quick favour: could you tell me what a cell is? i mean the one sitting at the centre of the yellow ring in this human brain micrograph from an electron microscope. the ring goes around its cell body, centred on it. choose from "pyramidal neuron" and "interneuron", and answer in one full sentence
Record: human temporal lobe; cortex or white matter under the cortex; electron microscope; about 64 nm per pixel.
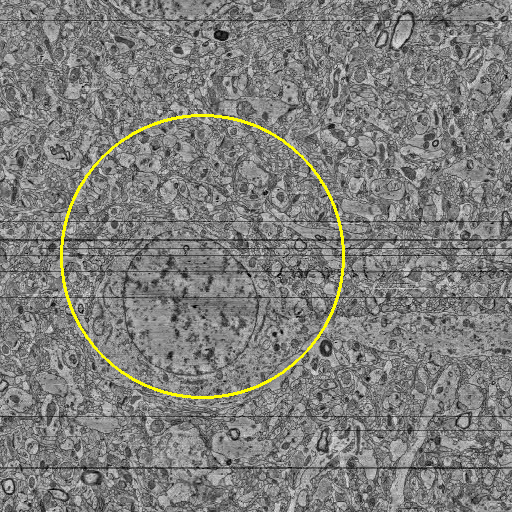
That's a pyramidal neuron, the cell sitting at the centre of the yellow ring.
